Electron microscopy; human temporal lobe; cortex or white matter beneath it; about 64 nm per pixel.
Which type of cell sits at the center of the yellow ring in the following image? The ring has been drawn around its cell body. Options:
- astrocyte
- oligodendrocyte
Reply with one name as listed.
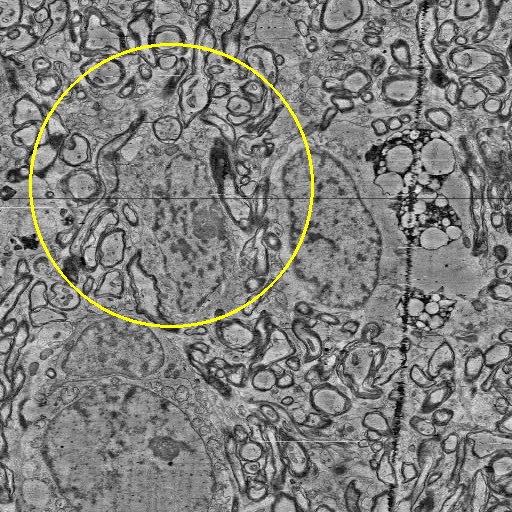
astrocyte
